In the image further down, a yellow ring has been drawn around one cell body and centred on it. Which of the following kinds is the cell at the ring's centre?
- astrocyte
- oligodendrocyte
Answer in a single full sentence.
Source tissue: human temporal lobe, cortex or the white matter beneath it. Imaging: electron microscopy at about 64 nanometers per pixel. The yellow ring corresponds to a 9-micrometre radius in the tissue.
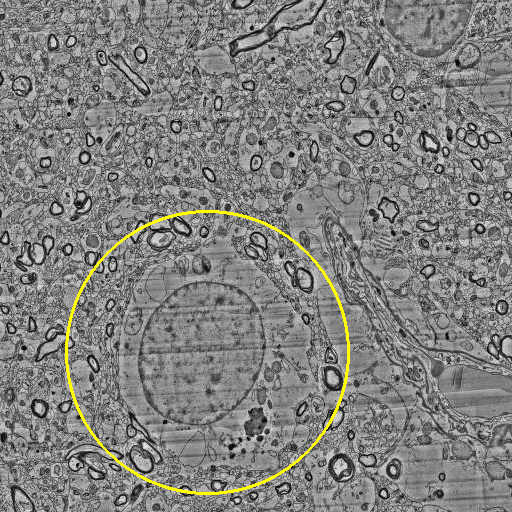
In the picture, the cell sitting at the centre of the yellow ring is an astrocyte.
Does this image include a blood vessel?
Yes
